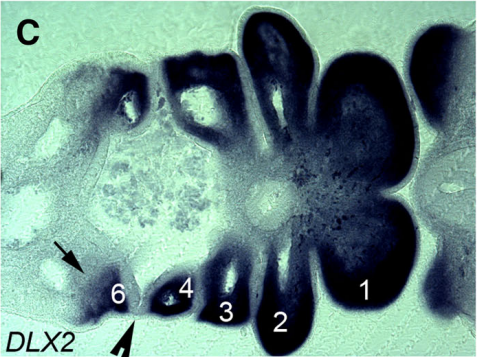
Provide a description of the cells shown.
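The arches become smaller from front to back, the first being the largest and the most posterior one the smallest. Between neighbouring arches run narrow clefts where the pharyngeal pouches meet the overlying surface, and at the back the last arch fades into the surrounding tissue without a sharp edge.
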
